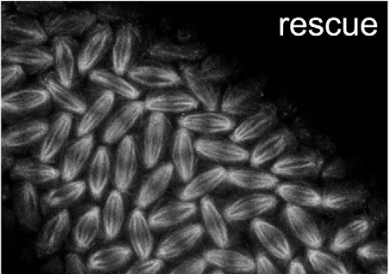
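A dense sheet of dozens of evenly spaced, spindle-shaped fibrous bodies, each tapering to two poles, with fine fibres running parallel along the long axis. The spindles point in various directions but stay apart from one another. These are mitotic spindles of a syncytial embryo dividing in synchrony.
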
